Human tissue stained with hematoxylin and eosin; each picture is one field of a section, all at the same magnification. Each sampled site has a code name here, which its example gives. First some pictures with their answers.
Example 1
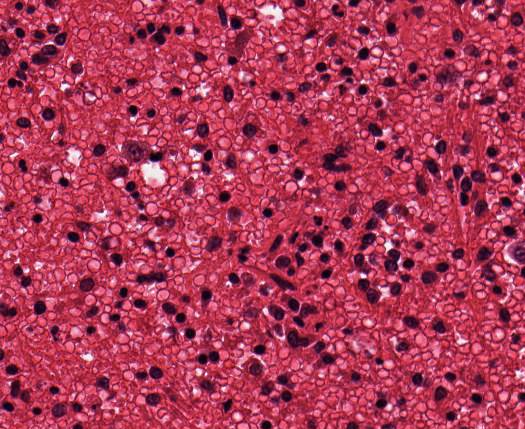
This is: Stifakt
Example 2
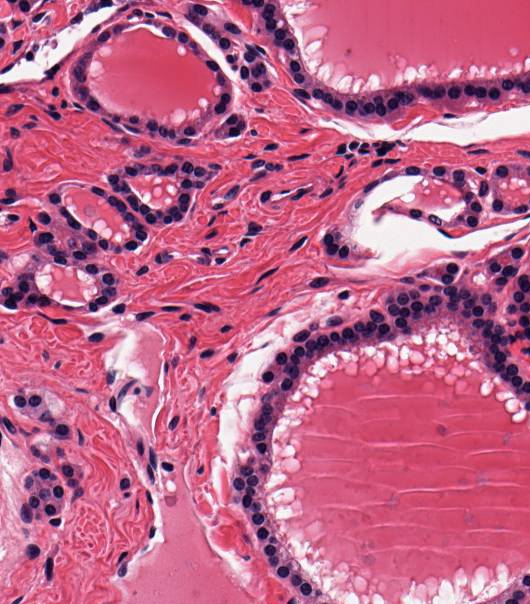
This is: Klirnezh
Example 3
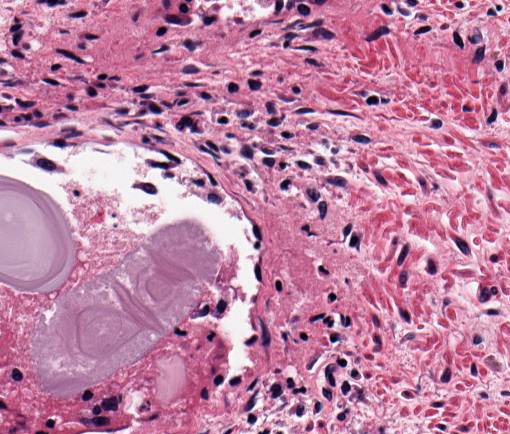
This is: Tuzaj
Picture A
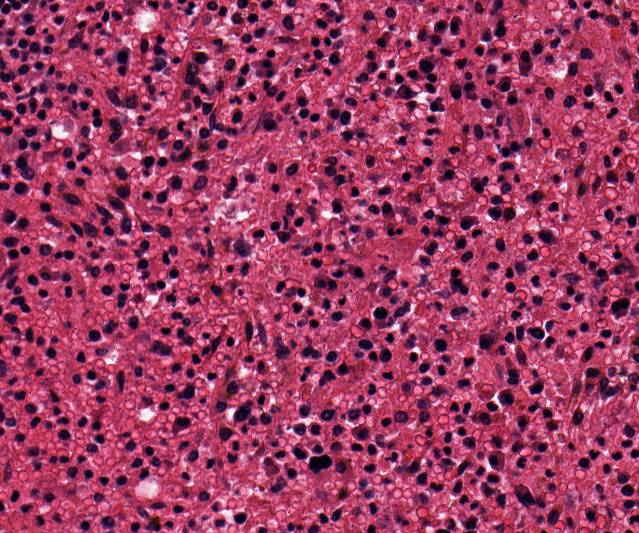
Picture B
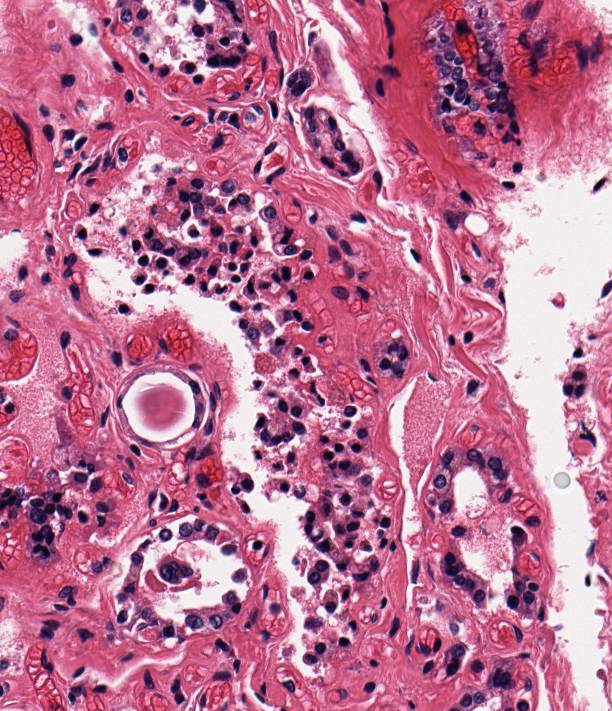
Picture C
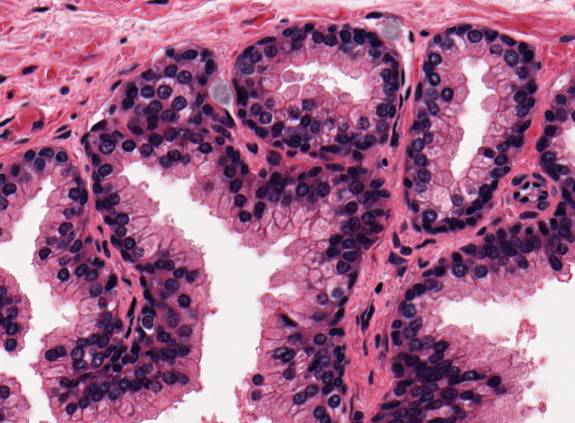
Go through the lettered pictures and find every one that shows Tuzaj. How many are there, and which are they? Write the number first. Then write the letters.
1: C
